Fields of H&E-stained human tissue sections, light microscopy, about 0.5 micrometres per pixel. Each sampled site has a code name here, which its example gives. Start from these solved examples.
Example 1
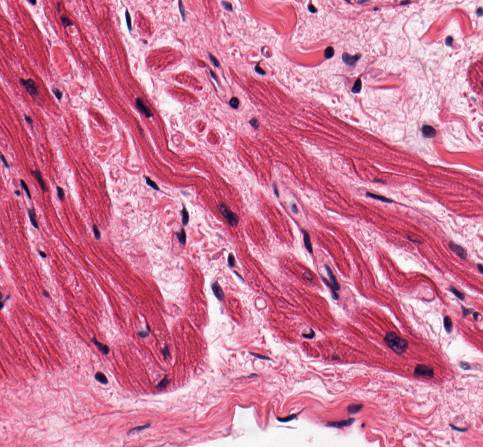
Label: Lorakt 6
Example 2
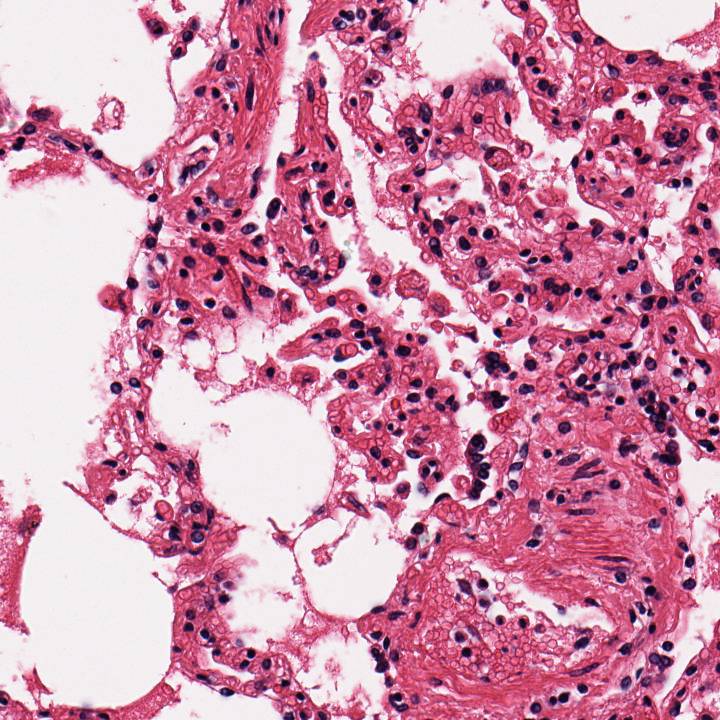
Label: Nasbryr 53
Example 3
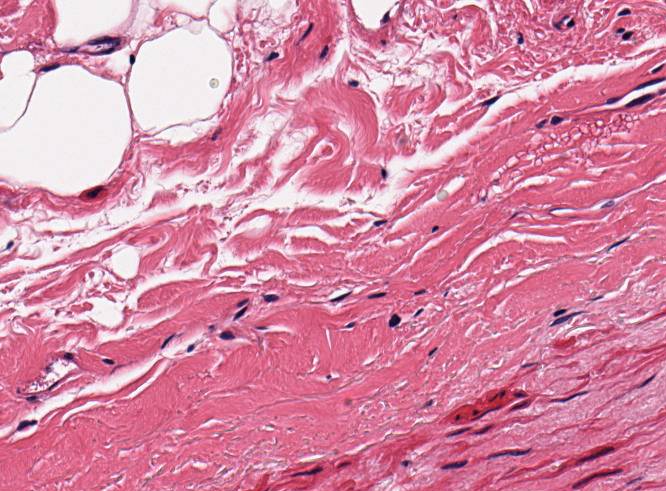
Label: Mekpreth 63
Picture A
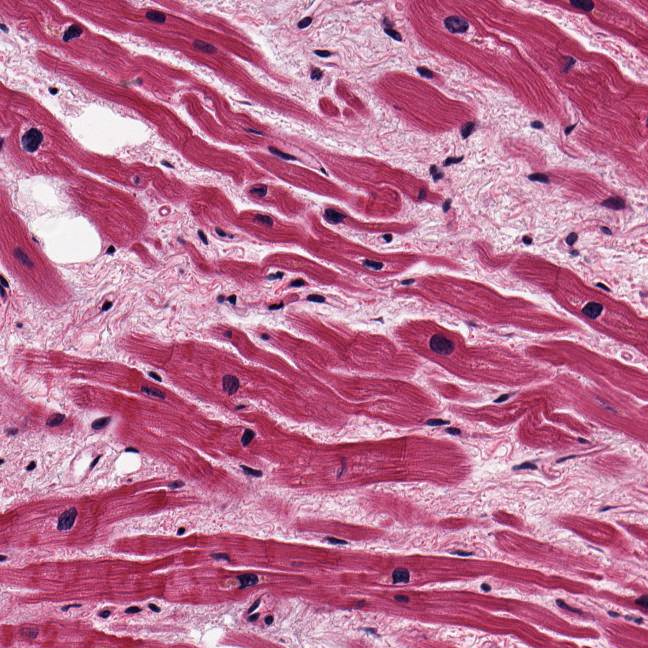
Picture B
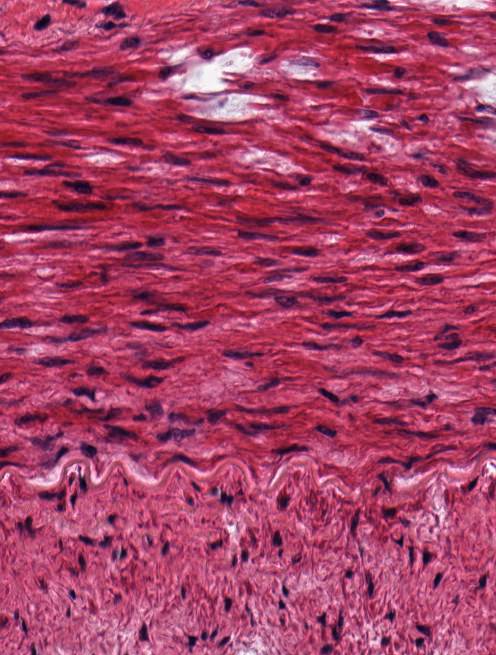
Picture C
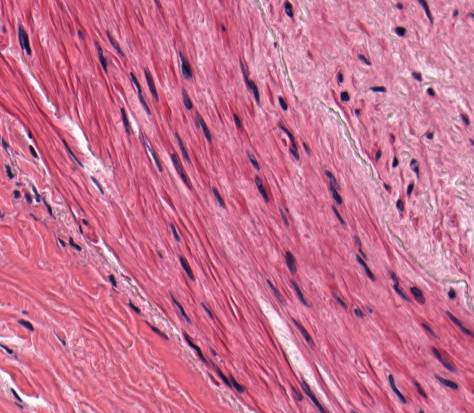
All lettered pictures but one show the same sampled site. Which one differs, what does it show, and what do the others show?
Odd one out: A (Lorakt 6). The rest: Mekpreth 63.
